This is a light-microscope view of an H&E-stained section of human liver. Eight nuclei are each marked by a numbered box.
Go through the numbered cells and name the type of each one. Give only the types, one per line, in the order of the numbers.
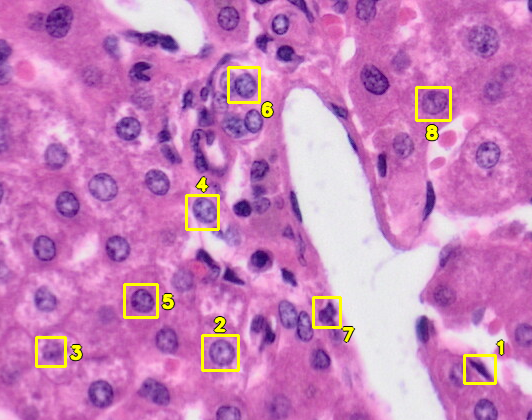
fibroblast or stellate cell
hepatocyte
hepatocyte
cholangiocyte
hepatocyte
cholangiocyte
fibroblast or stellate cell
hepatocyte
